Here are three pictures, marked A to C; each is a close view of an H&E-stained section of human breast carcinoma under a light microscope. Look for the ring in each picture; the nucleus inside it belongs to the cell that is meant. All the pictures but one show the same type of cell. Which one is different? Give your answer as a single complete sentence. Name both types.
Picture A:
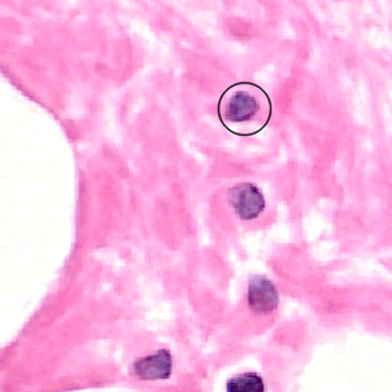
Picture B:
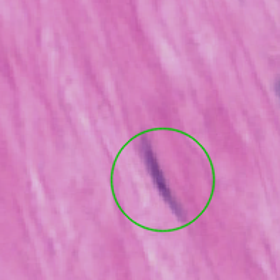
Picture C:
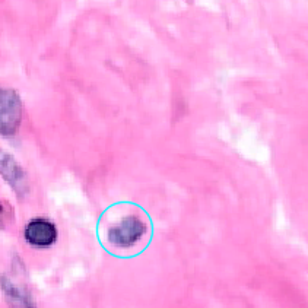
Unlike the rest, which show lymphocytes, picture B shows a fibroblast.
